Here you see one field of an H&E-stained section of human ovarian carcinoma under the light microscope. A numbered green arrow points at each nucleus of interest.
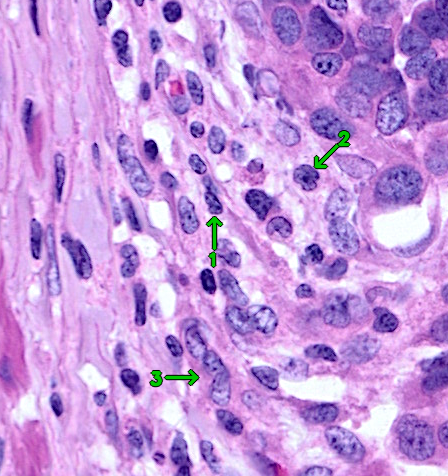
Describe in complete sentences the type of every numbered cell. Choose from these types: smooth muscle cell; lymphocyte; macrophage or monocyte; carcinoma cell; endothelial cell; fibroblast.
Cells 1 and 2 are lymphocytes. Cell 3 is an endothelial cell.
